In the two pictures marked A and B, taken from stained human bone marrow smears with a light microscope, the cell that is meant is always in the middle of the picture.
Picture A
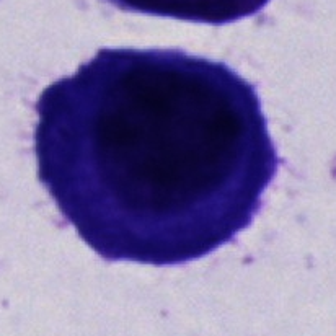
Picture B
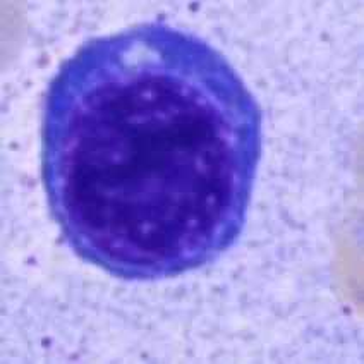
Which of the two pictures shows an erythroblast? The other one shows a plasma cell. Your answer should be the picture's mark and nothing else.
B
